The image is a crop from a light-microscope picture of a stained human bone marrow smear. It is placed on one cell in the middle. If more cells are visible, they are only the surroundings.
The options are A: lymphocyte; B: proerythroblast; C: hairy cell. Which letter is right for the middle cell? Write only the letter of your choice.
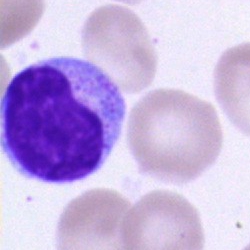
A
